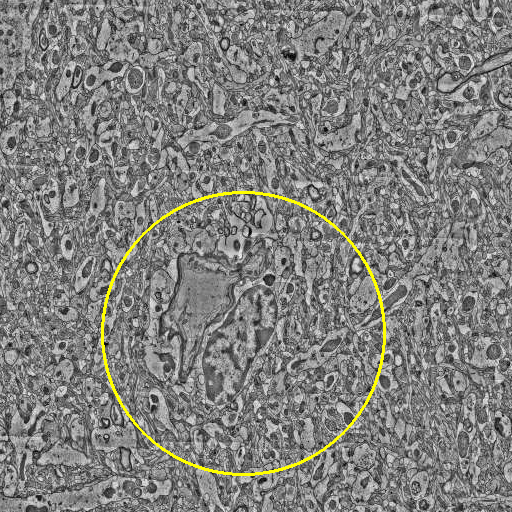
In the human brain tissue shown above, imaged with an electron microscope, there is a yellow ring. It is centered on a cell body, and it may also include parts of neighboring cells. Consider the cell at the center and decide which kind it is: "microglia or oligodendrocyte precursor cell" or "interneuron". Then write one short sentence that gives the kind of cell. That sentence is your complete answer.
This centered cell body is that of a microglial cell or oligodendrocyte precursor cell.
